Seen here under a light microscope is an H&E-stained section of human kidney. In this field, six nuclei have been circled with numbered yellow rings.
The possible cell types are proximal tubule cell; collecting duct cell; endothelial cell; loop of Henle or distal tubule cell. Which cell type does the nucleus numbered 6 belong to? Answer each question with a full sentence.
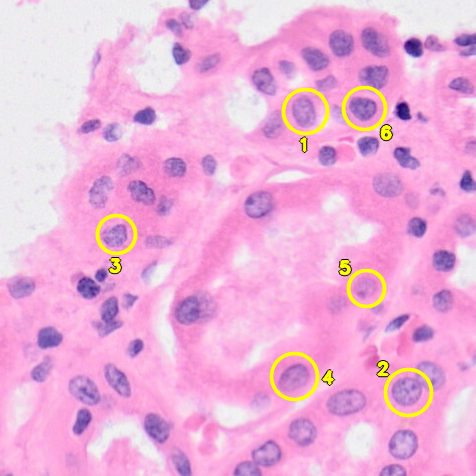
Among the marked cells, number 6 is a collecting duct cell.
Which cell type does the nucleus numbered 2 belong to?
The label 2 in this section denotes a proximal tubule cell.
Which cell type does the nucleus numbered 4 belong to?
The cell referred to as 4 is a proximal tubule cell.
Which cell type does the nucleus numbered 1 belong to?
The cell referenced by the number 1 is a collecting duct cell in this field.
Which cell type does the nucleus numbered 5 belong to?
The marked cell with the number 5 is recognised as a proximal tubule cell.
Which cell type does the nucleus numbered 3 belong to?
The nucleus labelled 3 belongs to a loop of Henle or distal tubule cell.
